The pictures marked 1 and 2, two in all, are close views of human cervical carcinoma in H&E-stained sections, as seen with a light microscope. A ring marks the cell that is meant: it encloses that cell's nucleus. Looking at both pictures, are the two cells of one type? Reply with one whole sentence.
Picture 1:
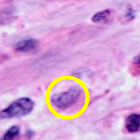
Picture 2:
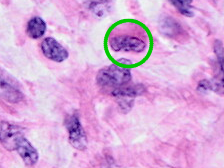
Yes, they are the same type: both are “macrophages or monocytes”.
